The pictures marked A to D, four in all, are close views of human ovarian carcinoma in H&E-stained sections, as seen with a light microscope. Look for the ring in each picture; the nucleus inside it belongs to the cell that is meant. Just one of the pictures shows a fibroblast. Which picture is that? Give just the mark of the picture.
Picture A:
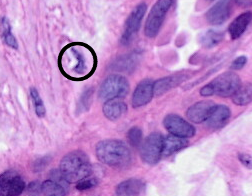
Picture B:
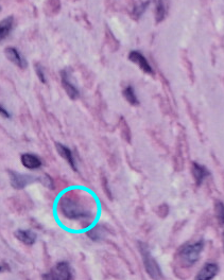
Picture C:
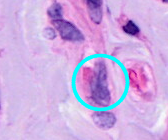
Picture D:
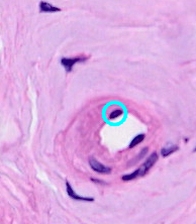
A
